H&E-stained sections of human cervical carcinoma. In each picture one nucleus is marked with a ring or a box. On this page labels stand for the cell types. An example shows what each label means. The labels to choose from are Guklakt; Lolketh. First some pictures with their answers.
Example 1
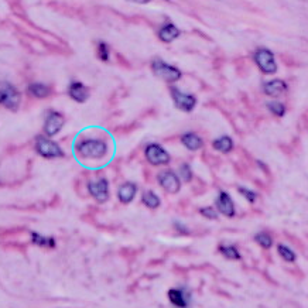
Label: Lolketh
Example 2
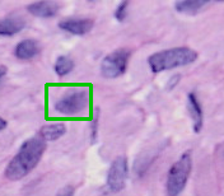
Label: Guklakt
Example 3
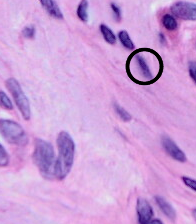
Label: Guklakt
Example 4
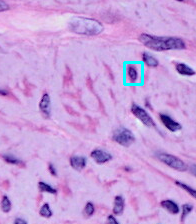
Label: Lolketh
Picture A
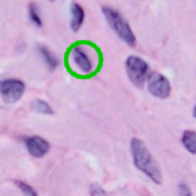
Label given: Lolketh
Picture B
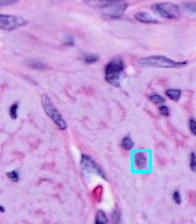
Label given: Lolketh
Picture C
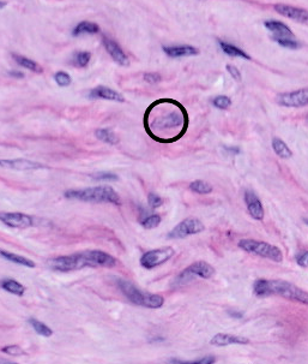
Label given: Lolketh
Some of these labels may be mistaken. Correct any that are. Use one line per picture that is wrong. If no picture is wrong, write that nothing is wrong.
A: not Lolketh but Guklakt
